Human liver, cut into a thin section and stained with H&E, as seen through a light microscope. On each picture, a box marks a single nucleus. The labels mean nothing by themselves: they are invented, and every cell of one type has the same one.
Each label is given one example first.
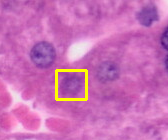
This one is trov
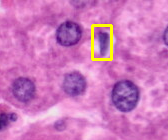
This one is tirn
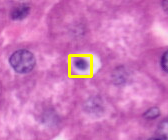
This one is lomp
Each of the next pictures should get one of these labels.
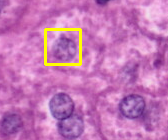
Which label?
trov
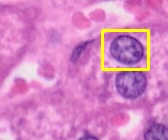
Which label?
trov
